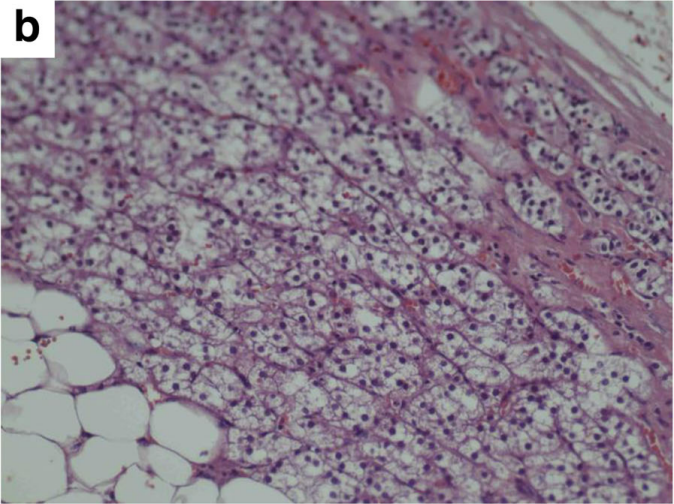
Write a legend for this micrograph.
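This is adrenal cortex, with cells of the zone fasciculata arranged in long parallel cords separated by thin pink fibrovascular septa. The cortical cells have abundant pale, foamy, clear cytoplasm and small round dark nuclei, often set centrally. A fibrous capsule with small blood vessels runs along the upper right edge. At the lower left the cortical cords give way to large empty polygonal fat cells with thin membranes and peripheral nuclei. These adipocytes lie directly against the cortical cells, where the deeper zone would normally be.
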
